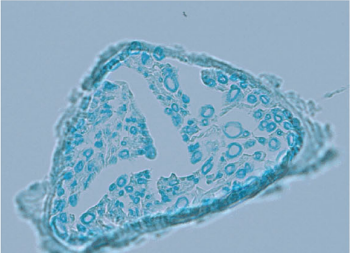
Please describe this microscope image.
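This is a cross-section of a peripheral nerve in blue stain, somewhat triangular in outline, with a thin blue sheath around it. Inside, round axon profiles with blue-stained rings and pale centres are scattered rather loosely, some larger and some small. A large pale, empty cleft runs through the middle of the section, and areas between the profiles look sparse and washed-out. Compared with a well-filled nerve, the ringed profiles here are fewer and less tightly grouped, leaving much of the interior without stained rings.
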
